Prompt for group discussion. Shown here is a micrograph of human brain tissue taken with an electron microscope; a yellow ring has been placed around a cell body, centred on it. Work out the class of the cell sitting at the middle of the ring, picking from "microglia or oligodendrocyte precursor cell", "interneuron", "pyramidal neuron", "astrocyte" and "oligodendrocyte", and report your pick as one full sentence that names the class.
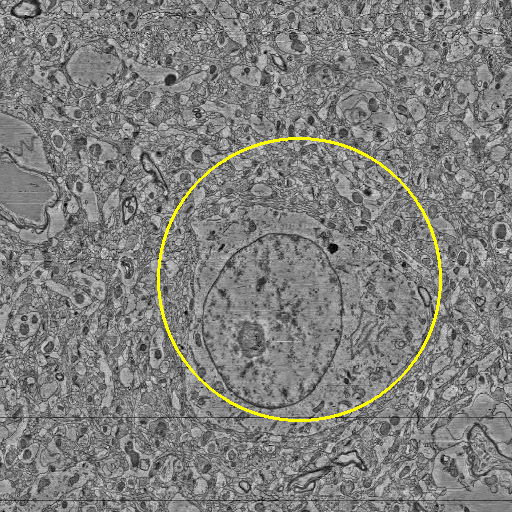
The cell sitting at the middle of the yellow ring is a pyramidal neuron.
